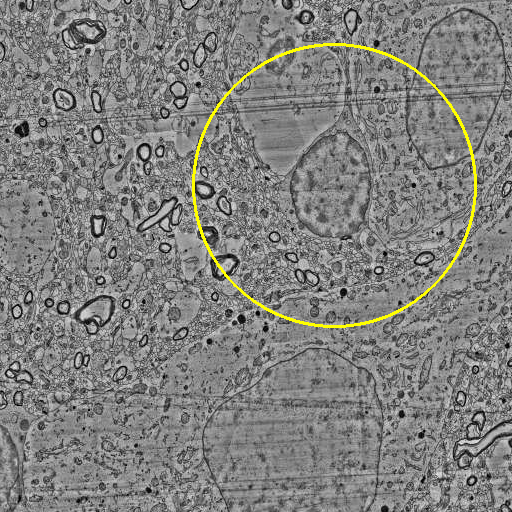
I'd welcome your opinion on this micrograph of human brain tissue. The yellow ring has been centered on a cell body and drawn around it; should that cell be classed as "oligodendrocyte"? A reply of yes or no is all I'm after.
yes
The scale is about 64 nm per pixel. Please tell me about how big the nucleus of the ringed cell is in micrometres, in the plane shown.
About 7 by 5 micrometers for the nucleus, in this plane.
